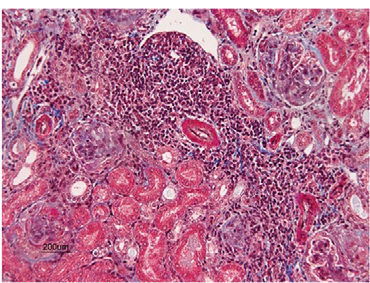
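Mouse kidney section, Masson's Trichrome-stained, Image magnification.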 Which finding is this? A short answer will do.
Perivascular cellular infiltration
